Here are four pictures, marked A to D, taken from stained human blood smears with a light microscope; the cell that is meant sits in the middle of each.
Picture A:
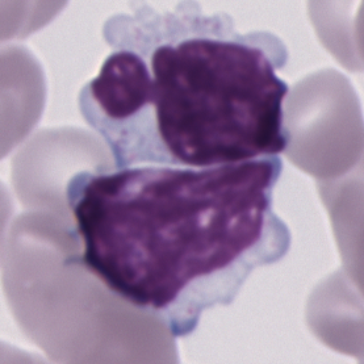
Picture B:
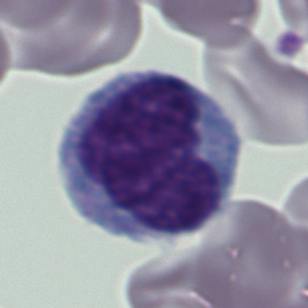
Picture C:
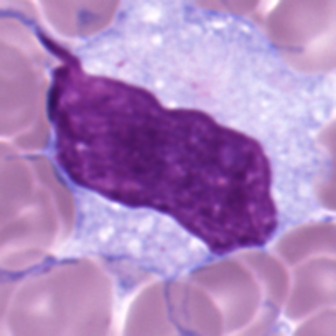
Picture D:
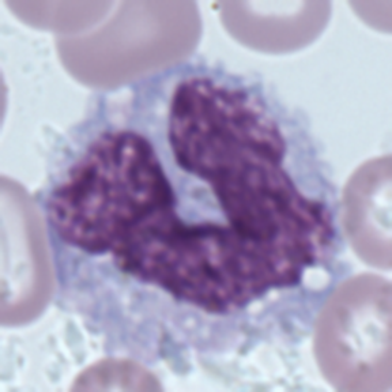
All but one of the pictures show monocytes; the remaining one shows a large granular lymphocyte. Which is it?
A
